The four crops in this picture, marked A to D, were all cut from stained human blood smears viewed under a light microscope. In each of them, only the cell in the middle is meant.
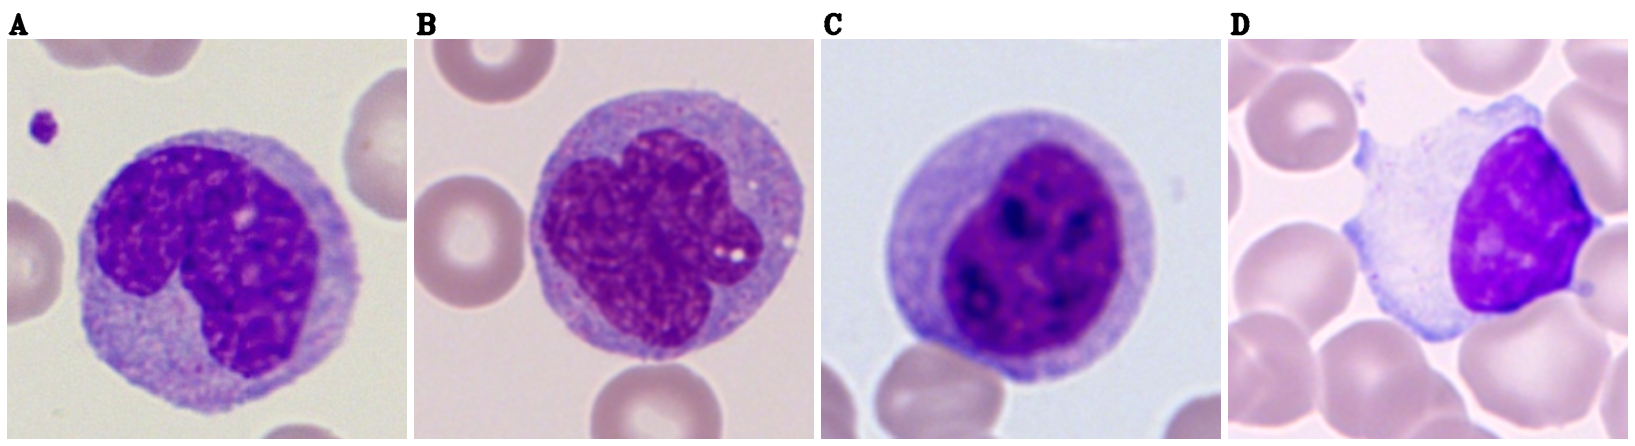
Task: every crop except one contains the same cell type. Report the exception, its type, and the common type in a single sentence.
The central cell of crop D is a lymphocyte, while the other crops show monocytes.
